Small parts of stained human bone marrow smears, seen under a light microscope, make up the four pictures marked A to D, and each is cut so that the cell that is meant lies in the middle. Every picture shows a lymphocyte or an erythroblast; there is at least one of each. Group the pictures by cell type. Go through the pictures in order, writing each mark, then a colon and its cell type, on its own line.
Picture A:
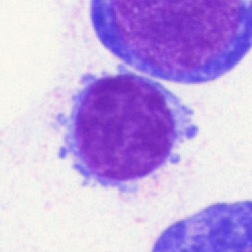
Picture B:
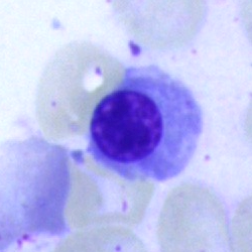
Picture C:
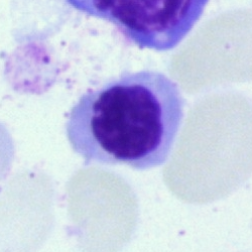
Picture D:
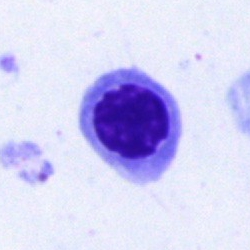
A: lymphocyte
B: erythroblast
C: erythroblast
D: erythroblast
